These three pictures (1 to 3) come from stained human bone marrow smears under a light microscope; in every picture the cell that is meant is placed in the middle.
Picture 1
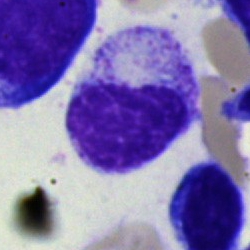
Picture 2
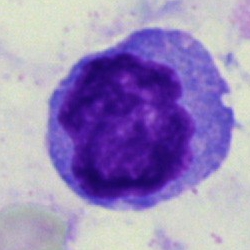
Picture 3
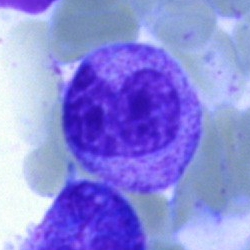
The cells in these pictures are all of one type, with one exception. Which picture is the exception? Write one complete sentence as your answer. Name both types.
Picture 2 differs, because its cell is a monocyte and the rest are metamyelocytes.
